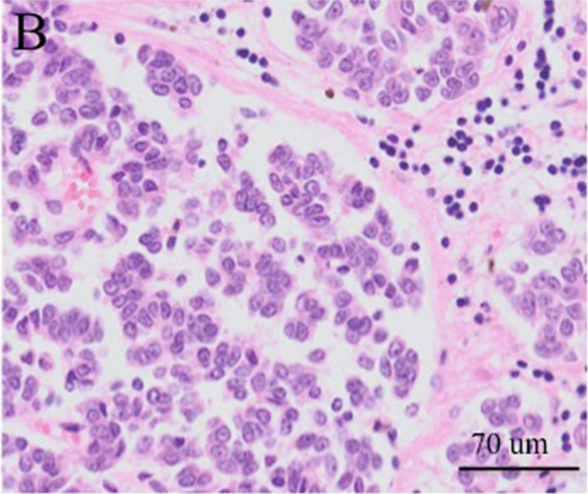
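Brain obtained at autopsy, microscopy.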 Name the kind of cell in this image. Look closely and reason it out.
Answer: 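Melanocytic cells. A few small brown pigment granules lie among the cells. Thin pink fibrous septa separate the cell groups.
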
